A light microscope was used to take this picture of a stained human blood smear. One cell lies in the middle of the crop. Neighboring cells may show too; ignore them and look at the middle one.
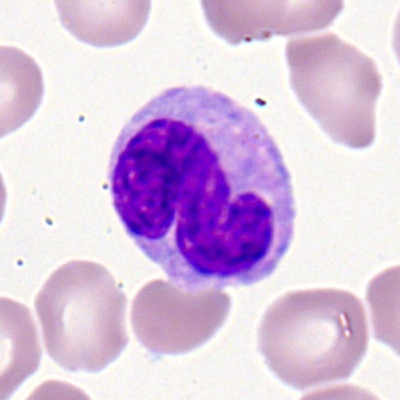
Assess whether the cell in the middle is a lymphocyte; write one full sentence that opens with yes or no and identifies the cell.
No, the middle of this crop is occupied by a monocyte rather than a lymphocyte.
